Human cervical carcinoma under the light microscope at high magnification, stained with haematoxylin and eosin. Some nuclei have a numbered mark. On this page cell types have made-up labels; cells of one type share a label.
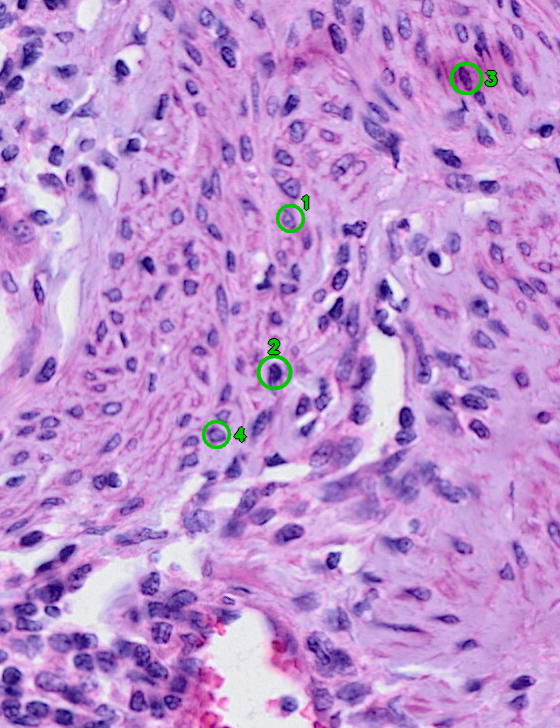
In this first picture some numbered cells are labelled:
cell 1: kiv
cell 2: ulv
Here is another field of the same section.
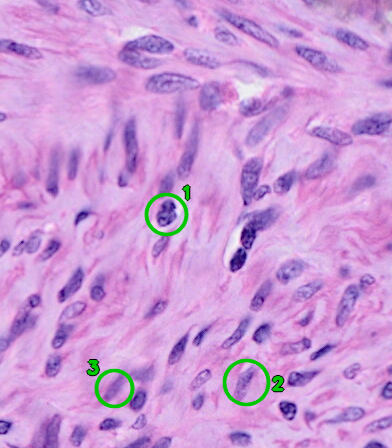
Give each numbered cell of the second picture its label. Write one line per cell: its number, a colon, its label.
1: ulv
2: kiv
3: kiv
